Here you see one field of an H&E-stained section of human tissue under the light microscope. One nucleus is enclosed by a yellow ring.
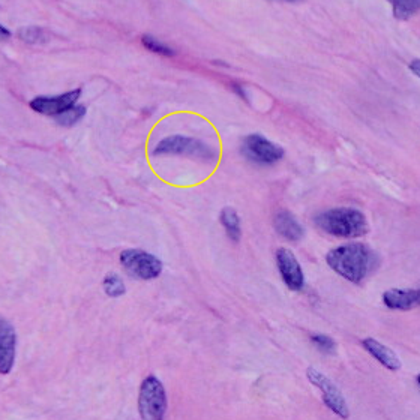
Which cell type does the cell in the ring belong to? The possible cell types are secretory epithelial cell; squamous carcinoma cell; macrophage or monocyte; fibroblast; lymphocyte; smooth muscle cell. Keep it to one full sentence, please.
As far as its identity is concerned, the cell in the ring is a fibroblast.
